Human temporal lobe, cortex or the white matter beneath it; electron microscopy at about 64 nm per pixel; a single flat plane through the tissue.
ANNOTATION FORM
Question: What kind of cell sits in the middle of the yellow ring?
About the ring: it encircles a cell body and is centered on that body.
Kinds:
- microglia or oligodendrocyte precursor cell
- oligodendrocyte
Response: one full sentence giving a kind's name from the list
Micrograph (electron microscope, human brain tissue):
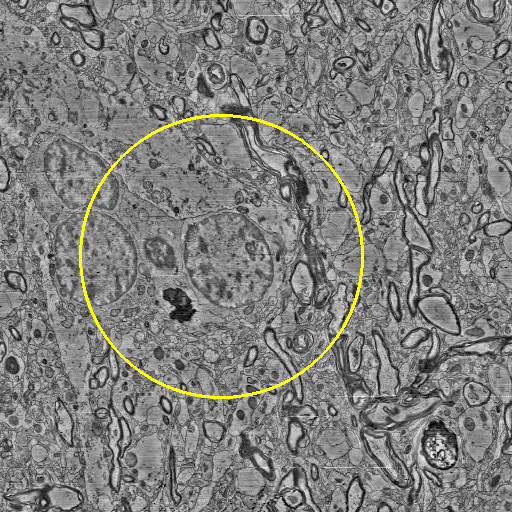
The kind of cell found at the center of the yellow ring in the micrograph is an oligodendrocyte.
